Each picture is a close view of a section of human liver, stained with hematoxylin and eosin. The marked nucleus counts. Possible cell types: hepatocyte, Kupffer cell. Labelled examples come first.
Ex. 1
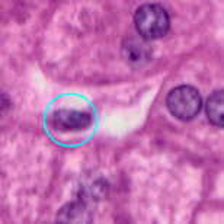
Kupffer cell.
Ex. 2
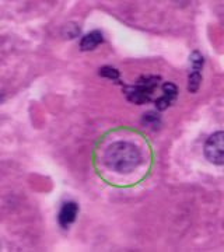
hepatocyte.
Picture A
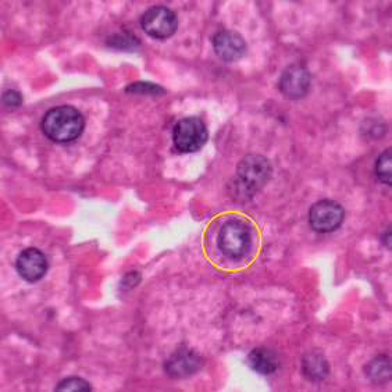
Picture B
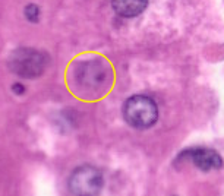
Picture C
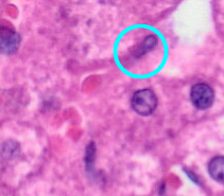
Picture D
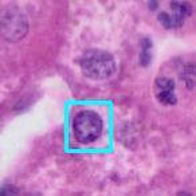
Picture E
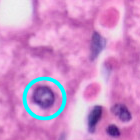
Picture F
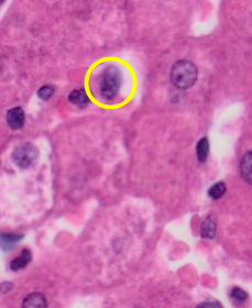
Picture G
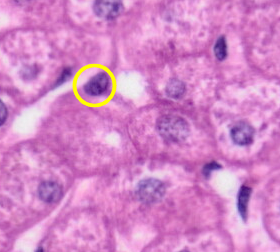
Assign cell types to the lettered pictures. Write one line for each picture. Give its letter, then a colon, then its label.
A: hepatocyte.
B: hepatocyte.
C: Kupffer cell.
D: hepatocyte.
E: hepatocyte.
F: Kupffer cell.
G: Kupffer cell.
